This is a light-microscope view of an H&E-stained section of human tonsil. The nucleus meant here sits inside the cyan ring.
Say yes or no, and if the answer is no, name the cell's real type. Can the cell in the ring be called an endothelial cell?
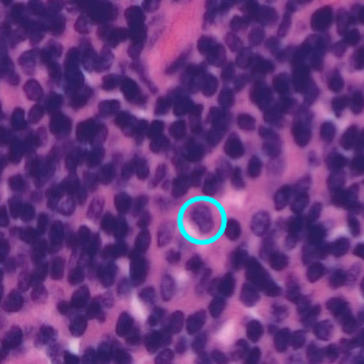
Yes.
